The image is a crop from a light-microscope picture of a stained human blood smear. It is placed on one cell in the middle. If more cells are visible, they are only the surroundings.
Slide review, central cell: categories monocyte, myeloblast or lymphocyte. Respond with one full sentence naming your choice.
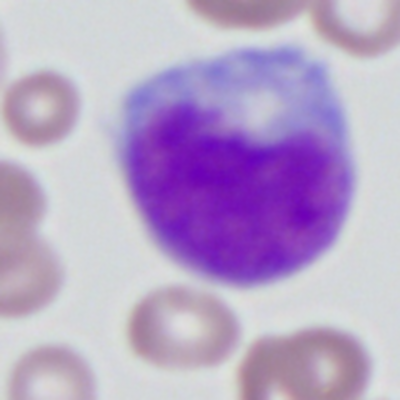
Centrally within this crop lies a monocyte.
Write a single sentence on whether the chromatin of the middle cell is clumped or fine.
Chromatin in the nucleus here is coarsely clumped.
